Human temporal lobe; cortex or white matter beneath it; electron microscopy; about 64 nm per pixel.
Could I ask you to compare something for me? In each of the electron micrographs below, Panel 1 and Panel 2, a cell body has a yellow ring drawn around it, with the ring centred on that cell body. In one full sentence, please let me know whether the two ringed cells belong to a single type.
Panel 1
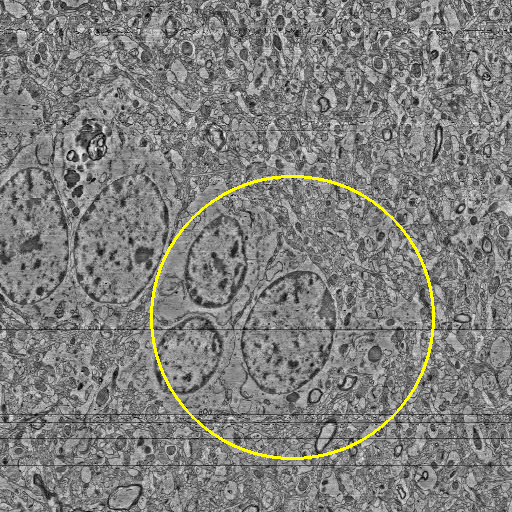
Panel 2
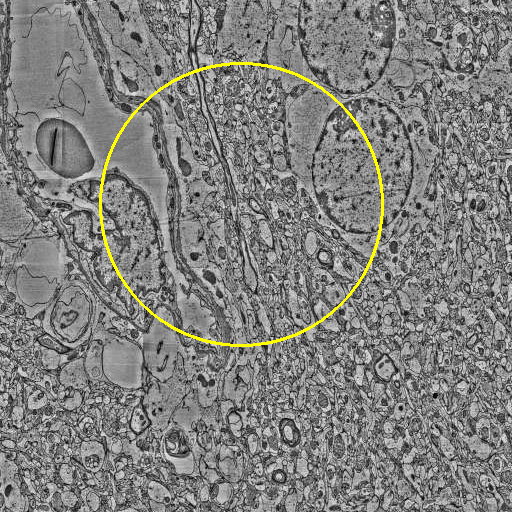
Yes, the two cells at the centres of the rings are of one type.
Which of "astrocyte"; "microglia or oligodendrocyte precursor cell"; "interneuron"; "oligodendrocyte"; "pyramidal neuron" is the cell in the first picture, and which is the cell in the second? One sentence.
The cell at the ring centre is an astrocyte in both pictures.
